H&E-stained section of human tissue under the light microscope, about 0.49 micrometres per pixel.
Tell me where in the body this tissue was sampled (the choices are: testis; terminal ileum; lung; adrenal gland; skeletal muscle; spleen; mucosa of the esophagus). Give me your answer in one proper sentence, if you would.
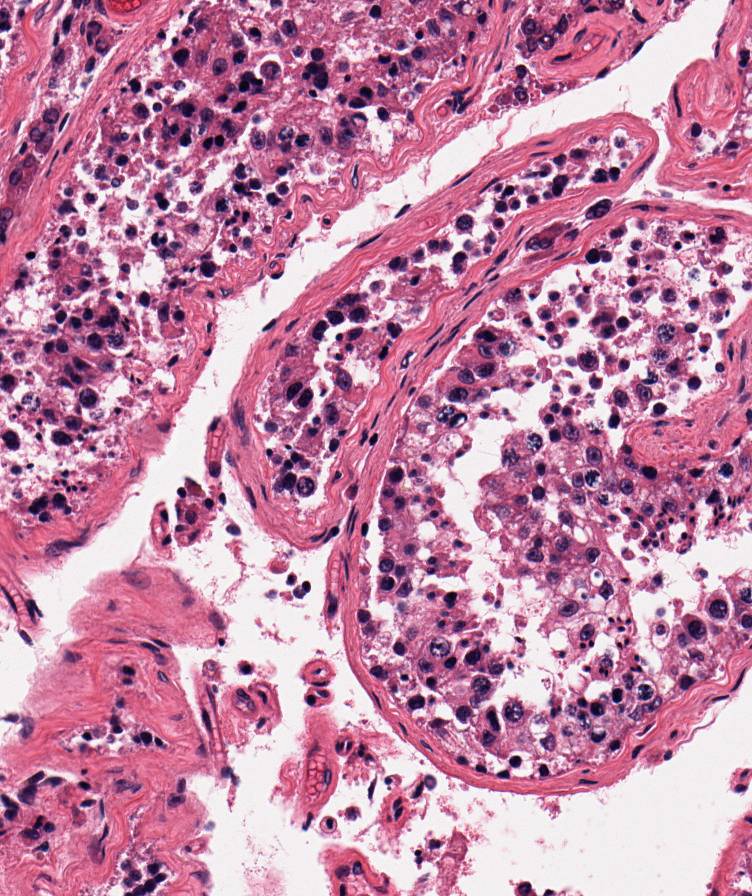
From the testis came the tissue in this section.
